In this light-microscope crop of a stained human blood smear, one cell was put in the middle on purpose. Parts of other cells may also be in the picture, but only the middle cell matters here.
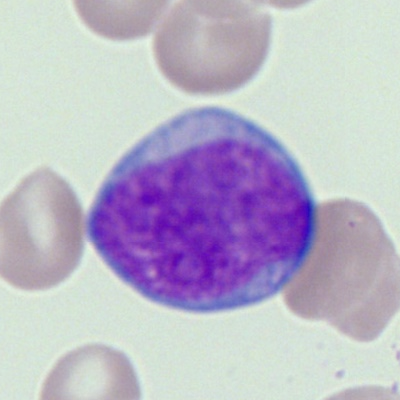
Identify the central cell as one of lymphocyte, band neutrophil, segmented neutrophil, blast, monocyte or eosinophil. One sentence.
In the middle of this smear crop is a blast.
